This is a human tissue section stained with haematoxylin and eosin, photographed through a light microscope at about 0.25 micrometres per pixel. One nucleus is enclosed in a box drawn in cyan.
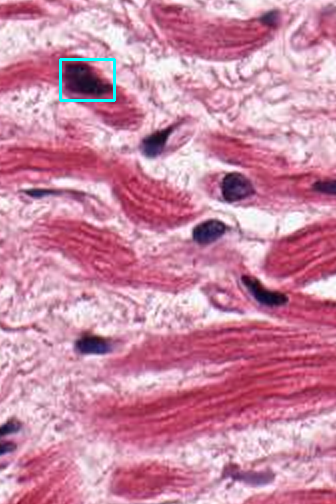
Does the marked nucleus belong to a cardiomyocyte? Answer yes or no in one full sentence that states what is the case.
Yes, the marked nucleus is contained in a cardiomyocyte.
